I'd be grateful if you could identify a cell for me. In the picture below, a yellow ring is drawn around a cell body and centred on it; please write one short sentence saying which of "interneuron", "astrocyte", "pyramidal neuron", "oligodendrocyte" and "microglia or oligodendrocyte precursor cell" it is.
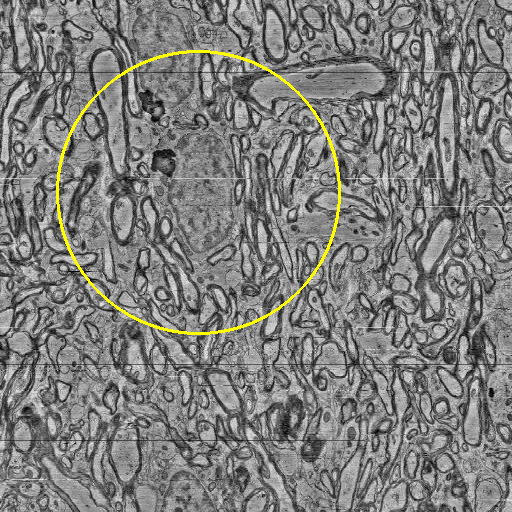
The cell under the ring's centre is an oligodendrocyte.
